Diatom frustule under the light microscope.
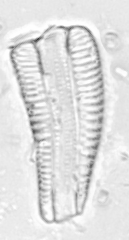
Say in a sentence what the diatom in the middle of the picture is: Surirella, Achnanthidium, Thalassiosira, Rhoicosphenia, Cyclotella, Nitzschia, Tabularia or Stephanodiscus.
This is Rhoicosphenia.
